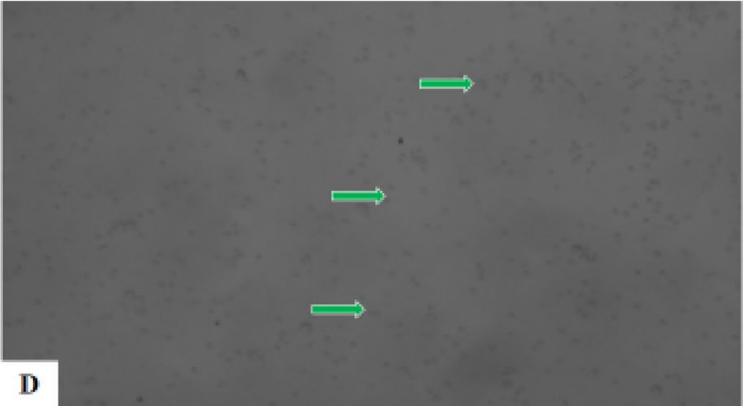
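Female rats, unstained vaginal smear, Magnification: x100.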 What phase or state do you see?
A: diestrus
